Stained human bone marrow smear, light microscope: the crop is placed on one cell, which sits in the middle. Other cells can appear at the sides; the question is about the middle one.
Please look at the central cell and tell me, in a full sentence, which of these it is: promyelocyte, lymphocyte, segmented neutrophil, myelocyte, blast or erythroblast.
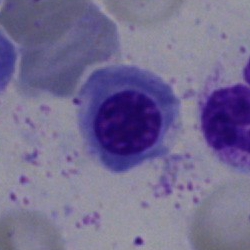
In the middle of this smear crop is an erythroblast.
